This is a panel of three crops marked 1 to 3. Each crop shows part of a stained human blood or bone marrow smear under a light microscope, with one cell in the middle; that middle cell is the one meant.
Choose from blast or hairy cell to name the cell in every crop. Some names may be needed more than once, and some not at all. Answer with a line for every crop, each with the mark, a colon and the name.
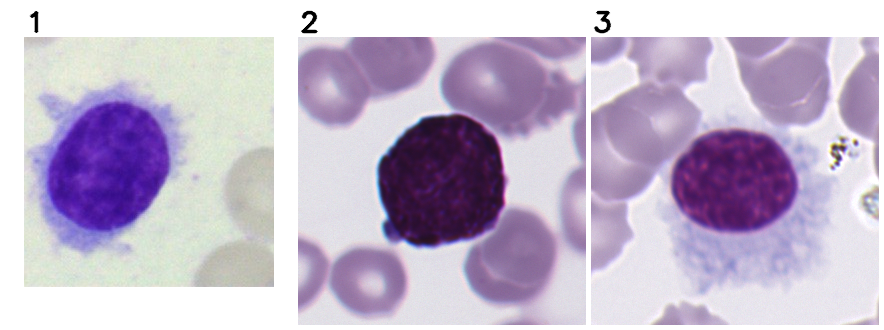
1: hairy cell
2: blast
3: hairy cell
